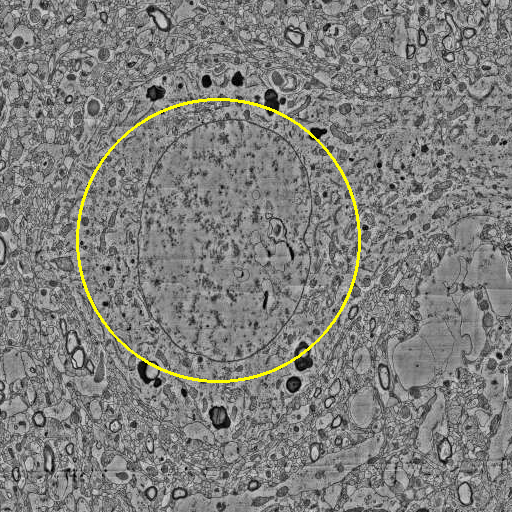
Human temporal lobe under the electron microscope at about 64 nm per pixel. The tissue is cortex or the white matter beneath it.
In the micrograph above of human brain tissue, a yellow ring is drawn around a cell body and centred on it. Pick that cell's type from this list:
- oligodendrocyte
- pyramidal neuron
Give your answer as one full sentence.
Going by the list, a pyramidal neuron is the cell on which the yellow ring is centred.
